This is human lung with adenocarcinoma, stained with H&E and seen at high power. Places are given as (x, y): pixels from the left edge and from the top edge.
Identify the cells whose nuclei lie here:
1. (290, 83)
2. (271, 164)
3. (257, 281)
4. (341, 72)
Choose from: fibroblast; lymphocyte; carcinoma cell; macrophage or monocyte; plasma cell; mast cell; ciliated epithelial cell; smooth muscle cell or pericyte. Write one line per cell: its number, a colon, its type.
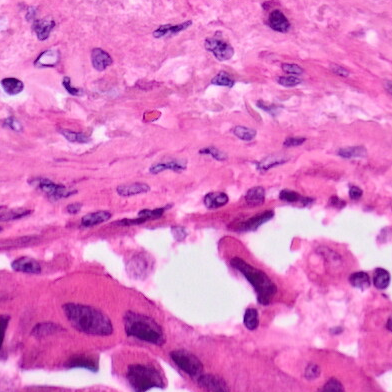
1: smooth muscle cell or pericyte
2: fibroblast
3: carcinoma cell
4: smooth muscle cell or pericyte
